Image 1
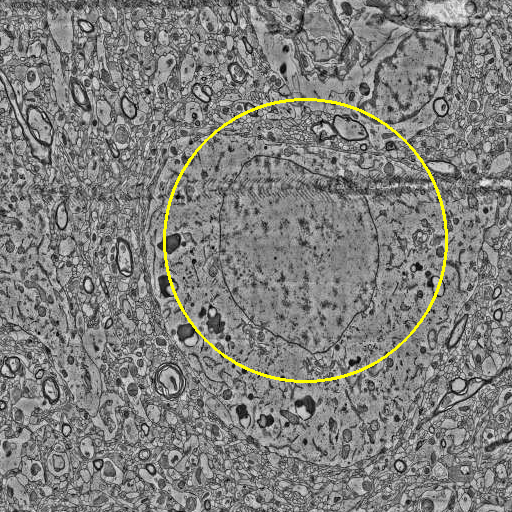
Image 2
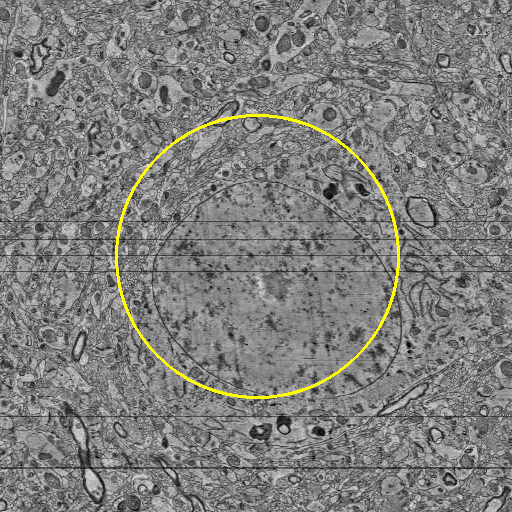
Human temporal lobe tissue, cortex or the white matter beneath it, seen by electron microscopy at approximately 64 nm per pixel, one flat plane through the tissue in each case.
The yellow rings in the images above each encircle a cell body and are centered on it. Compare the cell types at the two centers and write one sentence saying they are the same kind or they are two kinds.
Taken together, the two cells at the ring centers are the same kind.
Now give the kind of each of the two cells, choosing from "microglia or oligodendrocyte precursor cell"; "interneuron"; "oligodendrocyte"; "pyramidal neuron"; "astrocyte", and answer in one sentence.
The first and the second cell are each a pyramidal neuron.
